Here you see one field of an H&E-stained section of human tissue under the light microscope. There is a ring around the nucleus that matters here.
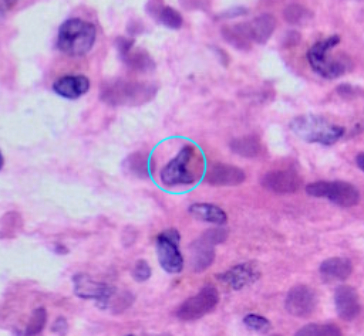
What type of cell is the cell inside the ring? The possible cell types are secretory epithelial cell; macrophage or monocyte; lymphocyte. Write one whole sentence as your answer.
As a matter of cell type, the cell inside the ring is a macrophage or monocyte.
